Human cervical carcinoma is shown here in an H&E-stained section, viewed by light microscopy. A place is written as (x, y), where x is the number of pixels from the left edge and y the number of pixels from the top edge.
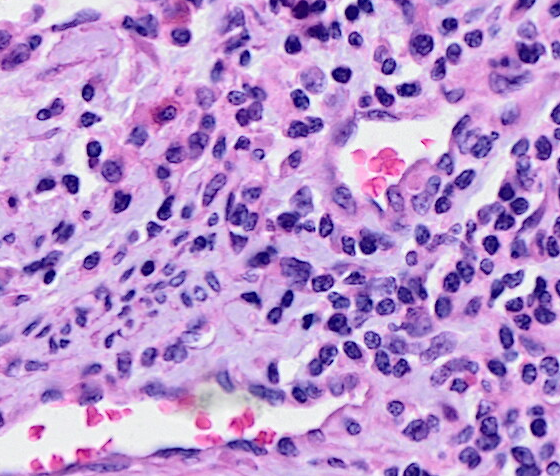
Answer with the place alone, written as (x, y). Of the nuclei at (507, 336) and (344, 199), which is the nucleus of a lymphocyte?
(507, 336)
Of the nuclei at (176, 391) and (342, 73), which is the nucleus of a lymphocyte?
(342, 73)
